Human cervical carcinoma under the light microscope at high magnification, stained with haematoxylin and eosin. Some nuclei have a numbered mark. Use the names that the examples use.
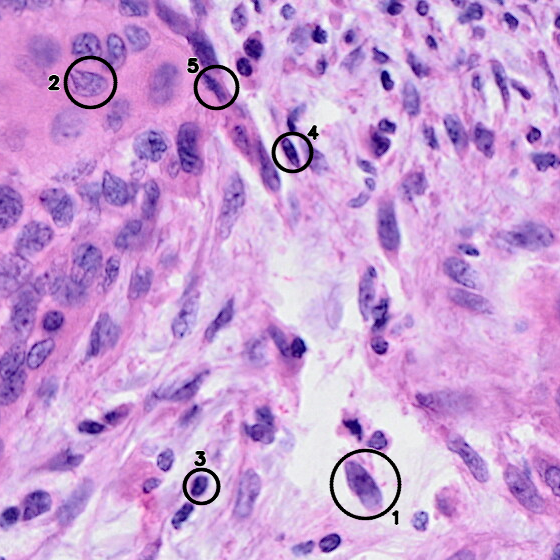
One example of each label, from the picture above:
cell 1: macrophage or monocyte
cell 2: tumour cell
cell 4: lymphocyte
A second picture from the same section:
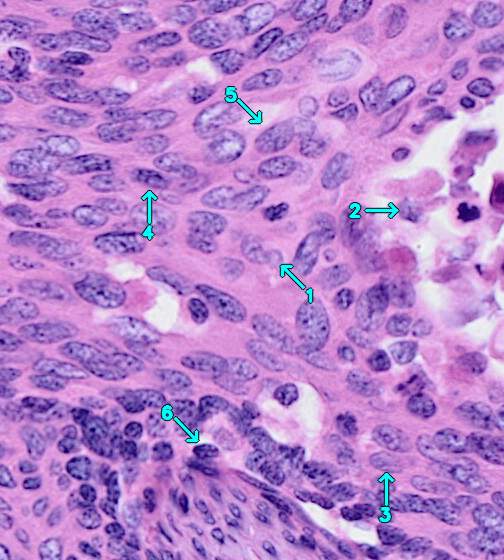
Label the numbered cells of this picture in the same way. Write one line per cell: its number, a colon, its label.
1: tumour cell
2: macrophage or monocyte
3: tumour cell
4: tumour cell
5: tumour cell
6: lymphocyte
